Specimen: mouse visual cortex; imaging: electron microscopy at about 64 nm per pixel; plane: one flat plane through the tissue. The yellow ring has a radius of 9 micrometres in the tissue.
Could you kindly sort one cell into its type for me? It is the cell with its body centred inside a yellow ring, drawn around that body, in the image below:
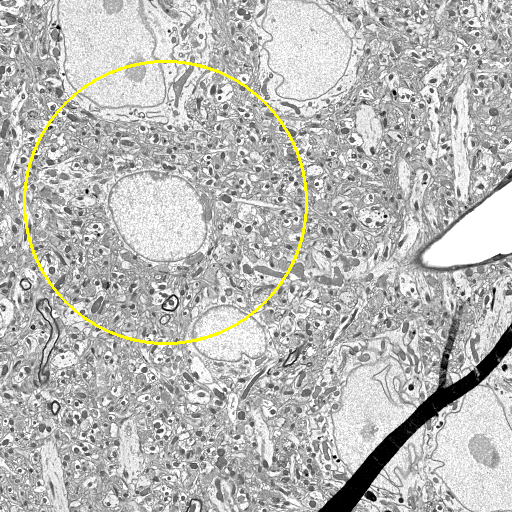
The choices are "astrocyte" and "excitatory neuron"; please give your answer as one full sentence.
The cell whose body lies centred in the yellow ring here is an astrocyte.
